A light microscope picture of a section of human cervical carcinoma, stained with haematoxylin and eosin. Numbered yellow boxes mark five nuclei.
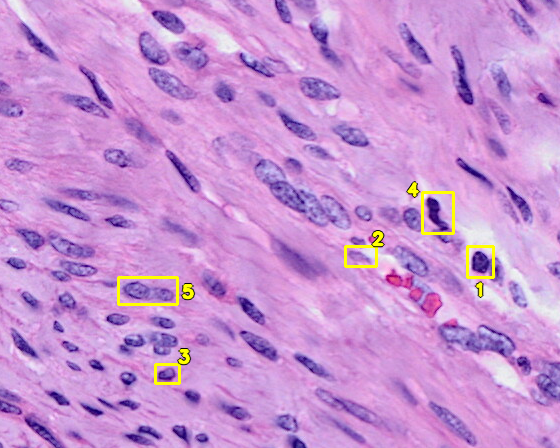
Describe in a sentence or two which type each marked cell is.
Cells 1 and 4 are lymphocytes. Cell 2 is an endothelial cell. Cells 3 and 5 are smooth muscle cells.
